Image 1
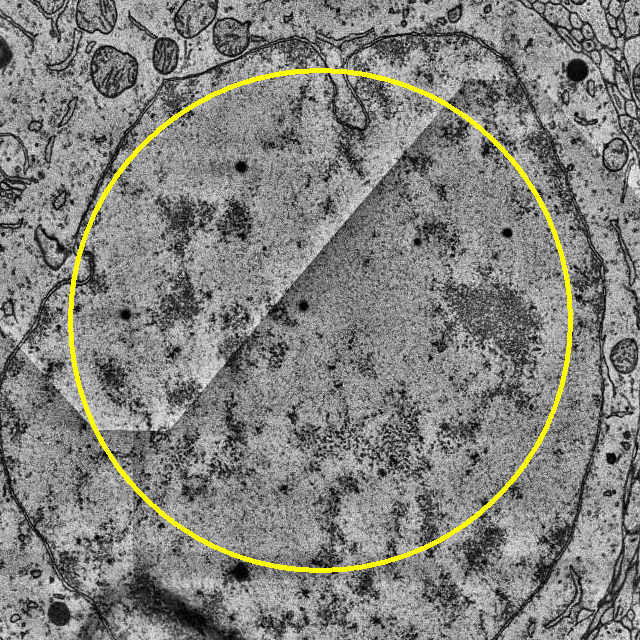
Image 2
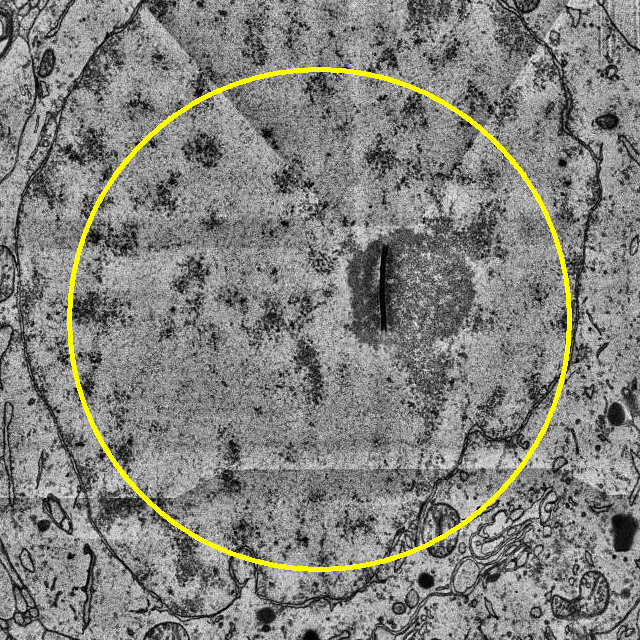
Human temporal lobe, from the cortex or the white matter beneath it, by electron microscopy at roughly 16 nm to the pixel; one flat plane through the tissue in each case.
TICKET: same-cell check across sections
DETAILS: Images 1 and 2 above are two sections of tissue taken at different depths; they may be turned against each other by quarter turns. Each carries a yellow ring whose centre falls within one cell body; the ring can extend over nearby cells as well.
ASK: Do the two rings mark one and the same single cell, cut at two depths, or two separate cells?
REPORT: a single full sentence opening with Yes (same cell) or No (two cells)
Yes, both yellow rings were placed on the same cell.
